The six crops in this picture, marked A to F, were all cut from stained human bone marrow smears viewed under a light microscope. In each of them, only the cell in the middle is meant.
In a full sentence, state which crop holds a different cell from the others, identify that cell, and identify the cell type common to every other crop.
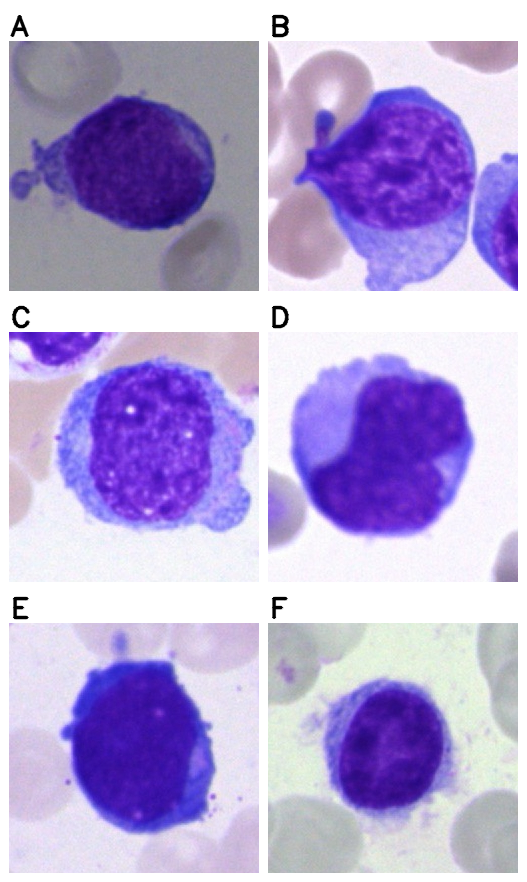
The rest of the crops show blasts; crop F is the one showing a hairy cell.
